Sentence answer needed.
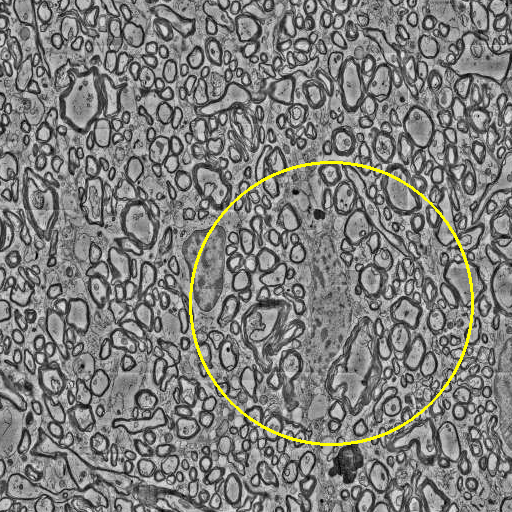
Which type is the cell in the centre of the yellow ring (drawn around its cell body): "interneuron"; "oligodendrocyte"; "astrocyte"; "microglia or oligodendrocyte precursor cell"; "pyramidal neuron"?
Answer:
In the centre of the yellow ring is an astrocyte.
